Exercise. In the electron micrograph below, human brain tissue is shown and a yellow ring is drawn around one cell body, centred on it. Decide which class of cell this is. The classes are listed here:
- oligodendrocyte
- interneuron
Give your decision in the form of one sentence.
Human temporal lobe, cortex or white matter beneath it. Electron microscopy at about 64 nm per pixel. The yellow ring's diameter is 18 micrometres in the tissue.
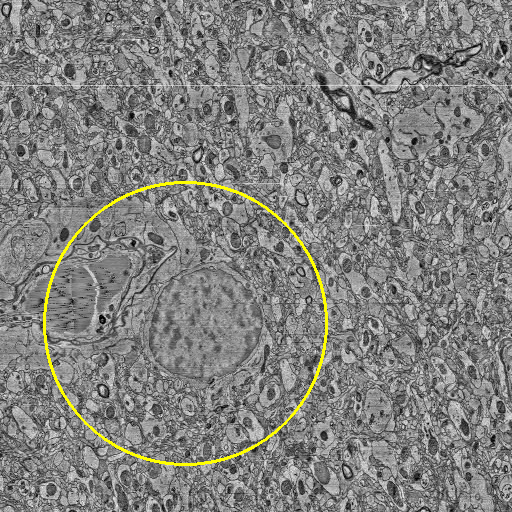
The cell body marked by the ring belongs to an oligodendrocyte.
